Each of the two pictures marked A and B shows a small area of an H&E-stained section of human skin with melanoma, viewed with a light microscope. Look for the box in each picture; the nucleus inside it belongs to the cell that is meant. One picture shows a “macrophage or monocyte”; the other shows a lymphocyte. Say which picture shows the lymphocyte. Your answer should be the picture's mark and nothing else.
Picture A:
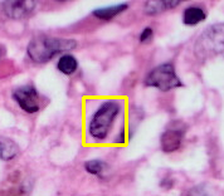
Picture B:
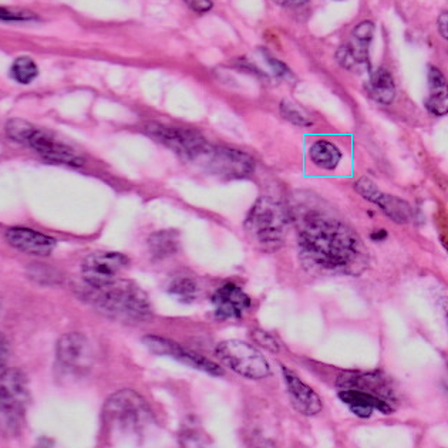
B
